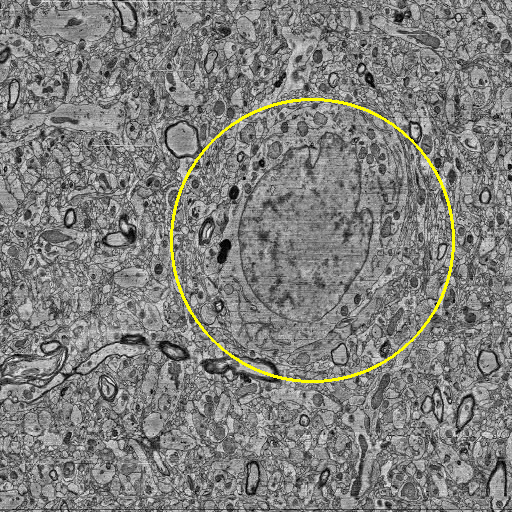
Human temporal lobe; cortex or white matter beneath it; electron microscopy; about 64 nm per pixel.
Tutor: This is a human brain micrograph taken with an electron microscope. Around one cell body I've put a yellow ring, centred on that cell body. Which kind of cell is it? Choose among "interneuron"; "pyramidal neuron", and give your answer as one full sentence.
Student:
Going by your list, the cell centred in the yellow ring is an interneuron.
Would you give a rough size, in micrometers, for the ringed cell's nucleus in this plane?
About 13 by 8 micrometers for the nucleus, in this plane.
